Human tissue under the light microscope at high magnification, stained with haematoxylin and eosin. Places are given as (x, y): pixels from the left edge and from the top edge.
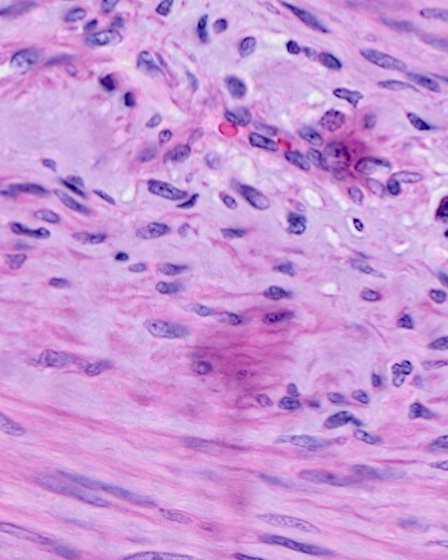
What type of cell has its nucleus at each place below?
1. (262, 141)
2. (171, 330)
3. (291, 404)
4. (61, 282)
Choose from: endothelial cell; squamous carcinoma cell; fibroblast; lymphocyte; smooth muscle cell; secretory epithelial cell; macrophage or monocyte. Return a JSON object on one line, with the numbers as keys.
{"1": "endothelial cell", "2": "smooth muscle cell", "3": "smooth muscle cell", "4": "smooth muscle cell"}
